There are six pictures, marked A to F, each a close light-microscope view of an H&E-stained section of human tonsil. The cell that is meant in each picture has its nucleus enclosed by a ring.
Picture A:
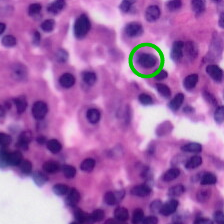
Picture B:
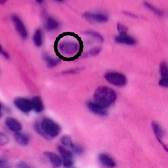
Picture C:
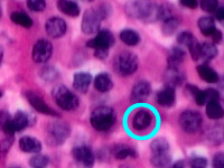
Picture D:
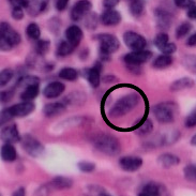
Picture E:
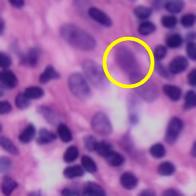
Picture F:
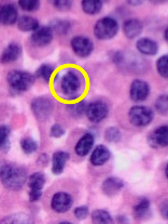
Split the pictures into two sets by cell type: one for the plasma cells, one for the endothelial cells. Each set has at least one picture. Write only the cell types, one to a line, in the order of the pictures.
plasma cell
endothelial cell
plasma cell
endothelial cell
endothelial cell
plasma cell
